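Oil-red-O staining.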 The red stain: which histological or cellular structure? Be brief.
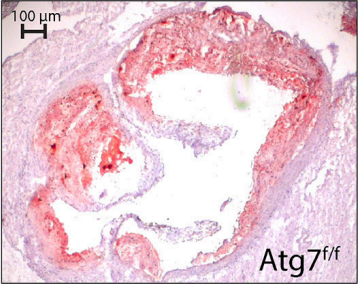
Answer: plaque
